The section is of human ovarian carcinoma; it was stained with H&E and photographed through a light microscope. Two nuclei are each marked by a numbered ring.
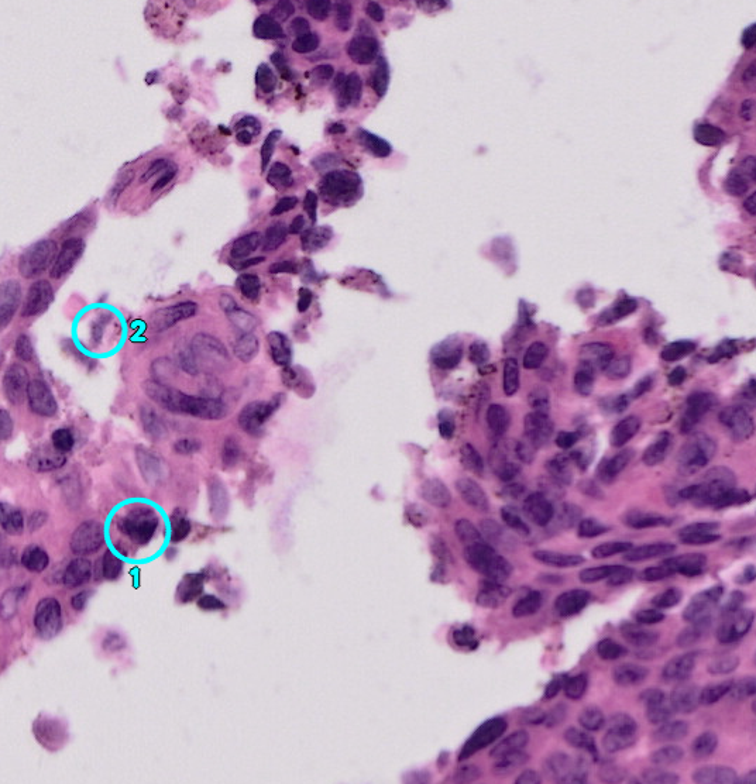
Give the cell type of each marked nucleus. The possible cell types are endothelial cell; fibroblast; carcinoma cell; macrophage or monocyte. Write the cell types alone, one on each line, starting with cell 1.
carcinoma cell
macrophage or monocyte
